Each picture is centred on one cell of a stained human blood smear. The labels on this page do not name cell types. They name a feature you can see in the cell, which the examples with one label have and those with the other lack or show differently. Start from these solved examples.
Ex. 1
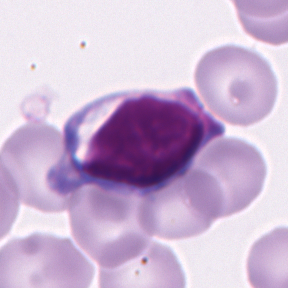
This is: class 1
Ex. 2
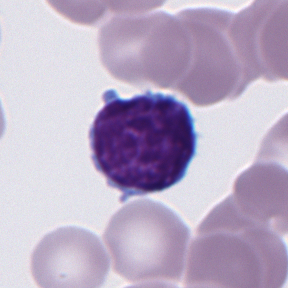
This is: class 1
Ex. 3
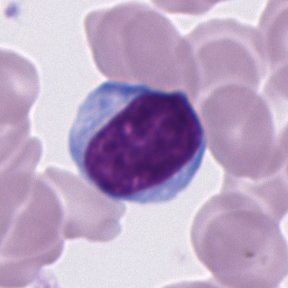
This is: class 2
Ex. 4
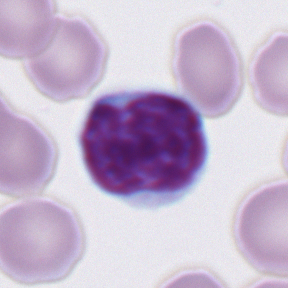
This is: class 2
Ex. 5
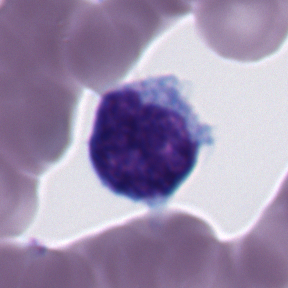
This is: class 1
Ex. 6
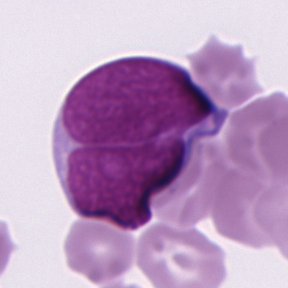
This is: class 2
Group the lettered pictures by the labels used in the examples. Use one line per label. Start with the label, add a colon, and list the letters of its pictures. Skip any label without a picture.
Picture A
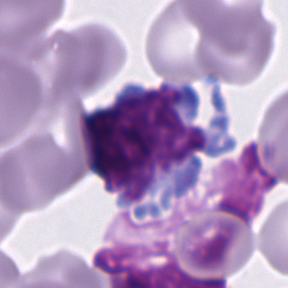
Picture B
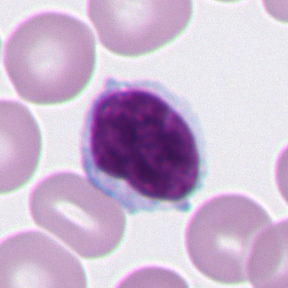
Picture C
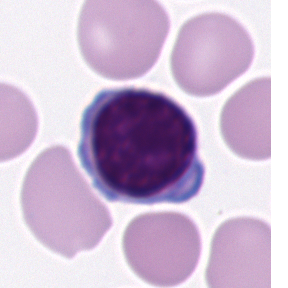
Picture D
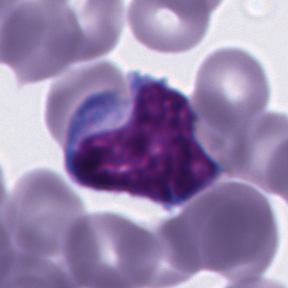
class 1: A, B, C, D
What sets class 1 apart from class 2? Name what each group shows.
class 1, ragged outline or projections; class 2, smooth outline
